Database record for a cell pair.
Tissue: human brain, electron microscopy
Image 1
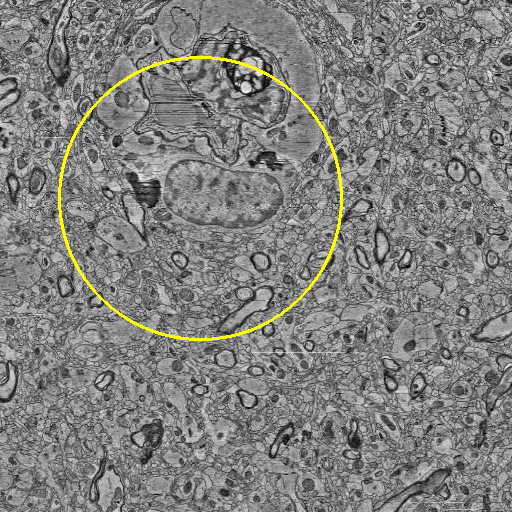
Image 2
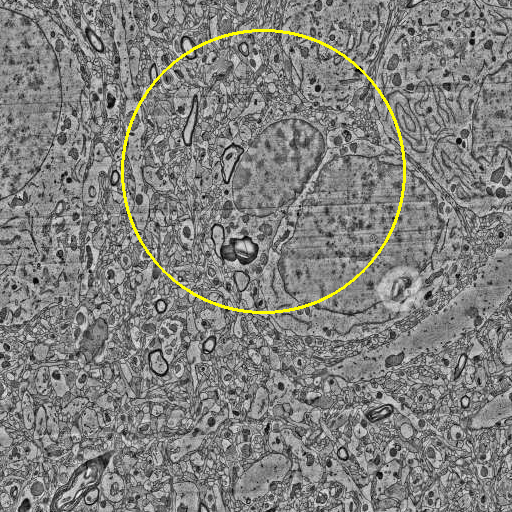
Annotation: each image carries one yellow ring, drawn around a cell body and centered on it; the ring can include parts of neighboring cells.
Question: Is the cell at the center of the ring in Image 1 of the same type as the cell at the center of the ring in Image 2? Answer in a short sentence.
Yes, the cells are of the same type.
